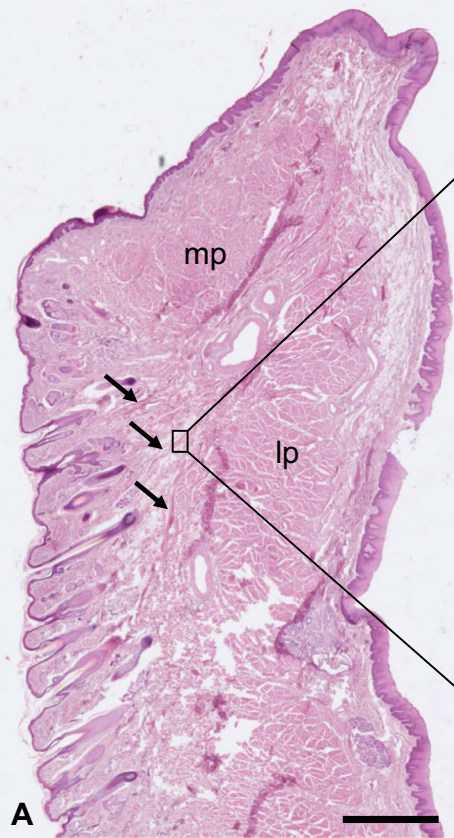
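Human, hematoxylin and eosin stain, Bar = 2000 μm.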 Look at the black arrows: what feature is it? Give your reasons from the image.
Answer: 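Bundles of skeletal muscle fibres. The arrows point to thin, pink, fibrous strands running through the connective tissue core. The strands lie between the hair follicles on one side and the larger pink muscle masses on the other.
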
